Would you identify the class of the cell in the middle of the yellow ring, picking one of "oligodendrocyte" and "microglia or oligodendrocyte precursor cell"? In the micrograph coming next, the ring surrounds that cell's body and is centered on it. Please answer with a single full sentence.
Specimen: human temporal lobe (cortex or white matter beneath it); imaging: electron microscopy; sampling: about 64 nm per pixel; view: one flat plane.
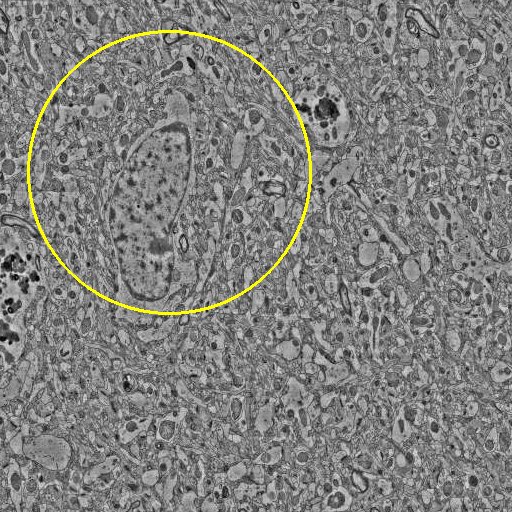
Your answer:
In the micrograph, it is a microglial cell or oligodendrocyte precursor cell whose body lies at the ring's center.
